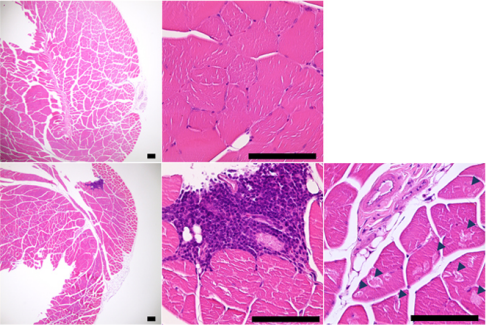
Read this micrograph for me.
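These are sections of skeletal muscle in which pink-staining muscle fibres are cut in cross and oblique section, with small dark purple nuclei lying at the edges of the fibres. In one lower field, a dense focus of many small, closely packed dark purple nuclei lies between the fibres, together with a few clear empty spaces. In another lower field, the fibres are rounded and unequal in size, they are separated by widened pale spaces, and arrowheads point to structures within the fibres.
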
